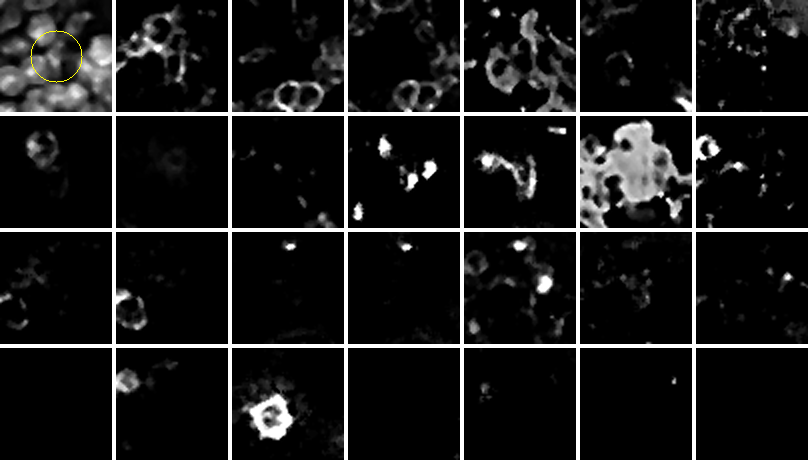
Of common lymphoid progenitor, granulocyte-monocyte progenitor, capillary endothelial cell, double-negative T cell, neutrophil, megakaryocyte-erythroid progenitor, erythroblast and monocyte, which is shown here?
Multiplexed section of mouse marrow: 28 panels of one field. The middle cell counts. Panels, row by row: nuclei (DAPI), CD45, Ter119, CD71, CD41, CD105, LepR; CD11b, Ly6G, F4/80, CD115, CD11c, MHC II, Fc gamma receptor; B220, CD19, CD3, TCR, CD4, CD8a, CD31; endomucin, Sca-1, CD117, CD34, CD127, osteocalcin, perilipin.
megakaryocyte-erythroid progenitor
